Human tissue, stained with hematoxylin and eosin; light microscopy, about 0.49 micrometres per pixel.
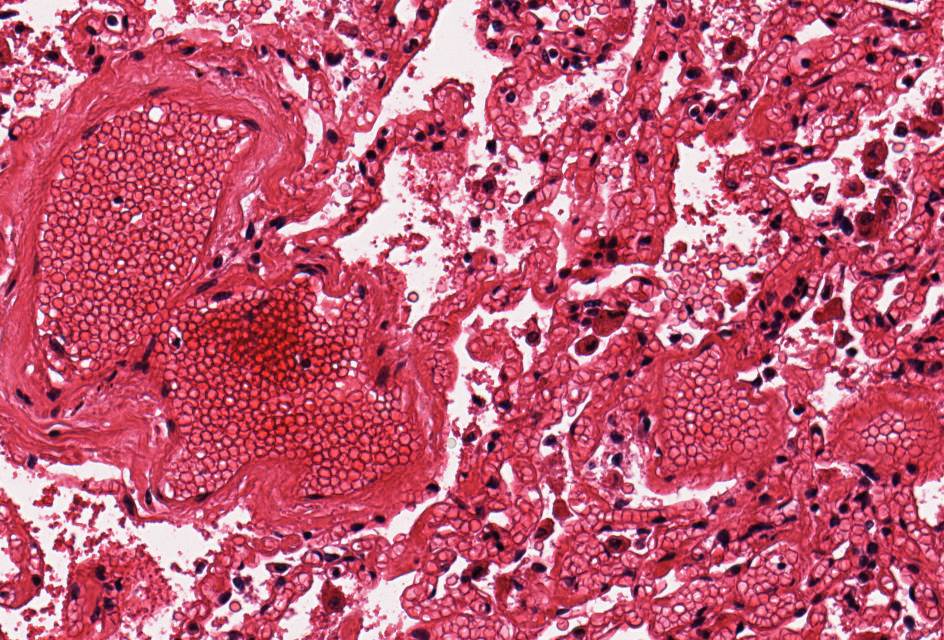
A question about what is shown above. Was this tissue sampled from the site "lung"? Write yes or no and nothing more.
yes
